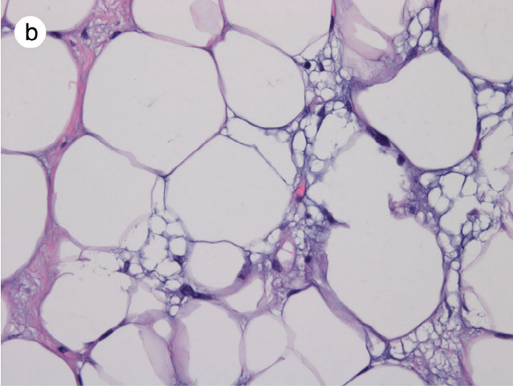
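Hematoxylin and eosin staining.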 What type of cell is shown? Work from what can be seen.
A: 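Cells with many small clear vacuoles in their cytoplasm between large fat cells. Dark, irregular nuclei beside the small vacuoles. On this evidence: atypical lipoblasts.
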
